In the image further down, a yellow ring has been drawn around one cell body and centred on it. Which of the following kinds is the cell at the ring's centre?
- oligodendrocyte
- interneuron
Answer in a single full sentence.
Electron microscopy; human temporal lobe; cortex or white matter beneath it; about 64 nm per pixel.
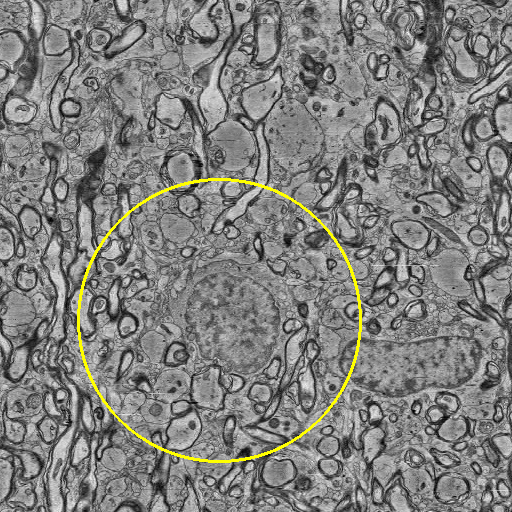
In the picture, the cell sitting at the centre of the yellow ring is an oligodendrocyte.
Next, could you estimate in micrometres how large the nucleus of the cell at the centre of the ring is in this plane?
About 7 by 6 micrometres in this plane.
